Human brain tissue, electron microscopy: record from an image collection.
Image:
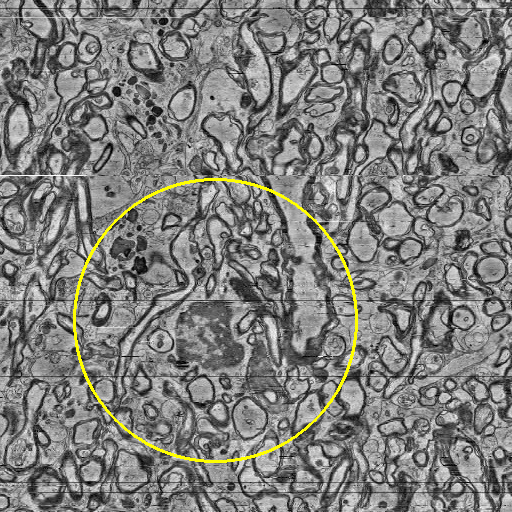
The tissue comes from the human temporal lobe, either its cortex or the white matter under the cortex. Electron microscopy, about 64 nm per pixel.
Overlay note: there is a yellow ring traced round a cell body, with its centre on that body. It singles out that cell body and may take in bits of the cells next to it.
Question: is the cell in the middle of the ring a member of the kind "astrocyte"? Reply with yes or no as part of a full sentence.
No, the image's ringed cell, the one at the ring's centre, is a member of another kind.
